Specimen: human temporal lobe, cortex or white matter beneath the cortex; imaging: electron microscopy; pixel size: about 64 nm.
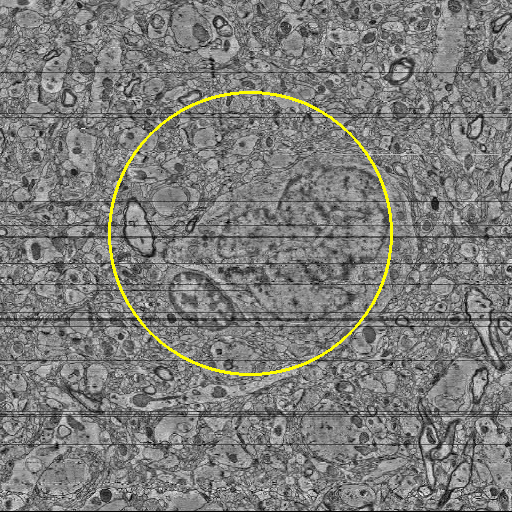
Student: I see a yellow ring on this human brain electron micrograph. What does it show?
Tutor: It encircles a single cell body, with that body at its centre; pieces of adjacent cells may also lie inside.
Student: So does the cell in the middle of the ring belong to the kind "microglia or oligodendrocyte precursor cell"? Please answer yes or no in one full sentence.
No, that cell at the centre of the ring is one of another kind.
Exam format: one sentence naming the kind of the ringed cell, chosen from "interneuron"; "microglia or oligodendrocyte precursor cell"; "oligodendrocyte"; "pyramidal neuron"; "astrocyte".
This picture has an interneuron at the centre of its ring.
